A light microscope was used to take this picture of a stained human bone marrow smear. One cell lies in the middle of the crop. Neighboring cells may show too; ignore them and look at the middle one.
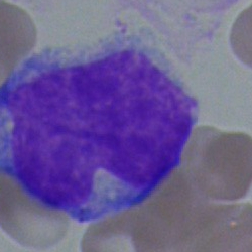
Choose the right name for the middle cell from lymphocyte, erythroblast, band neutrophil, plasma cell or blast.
blast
